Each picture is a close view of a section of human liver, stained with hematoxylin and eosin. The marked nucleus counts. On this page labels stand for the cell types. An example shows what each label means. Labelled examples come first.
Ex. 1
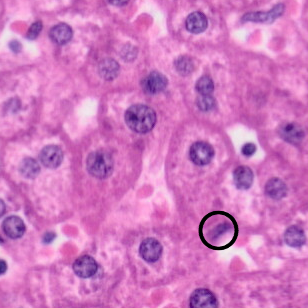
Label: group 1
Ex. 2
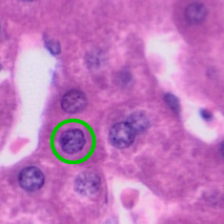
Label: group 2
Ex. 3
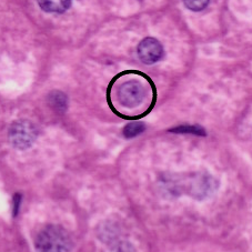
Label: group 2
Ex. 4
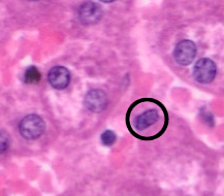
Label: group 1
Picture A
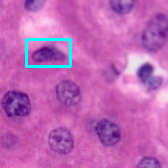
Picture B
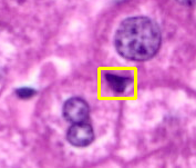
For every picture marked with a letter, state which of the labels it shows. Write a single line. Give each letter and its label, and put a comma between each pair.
A group 1, B group 1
